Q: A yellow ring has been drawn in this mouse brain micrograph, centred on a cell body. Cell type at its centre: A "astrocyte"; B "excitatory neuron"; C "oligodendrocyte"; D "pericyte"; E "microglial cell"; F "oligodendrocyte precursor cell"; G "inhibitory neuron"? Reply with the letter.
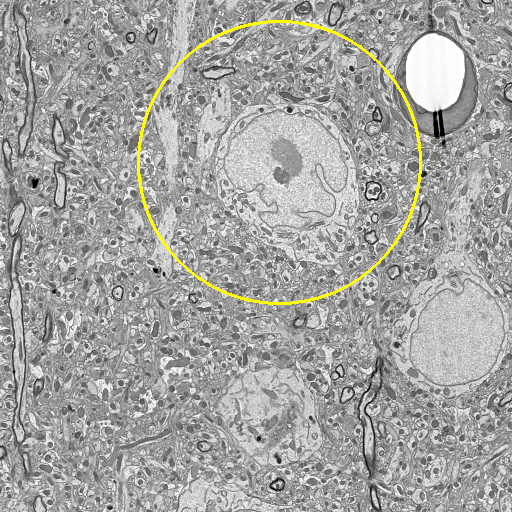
G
